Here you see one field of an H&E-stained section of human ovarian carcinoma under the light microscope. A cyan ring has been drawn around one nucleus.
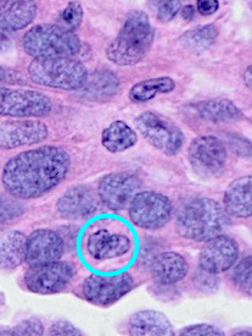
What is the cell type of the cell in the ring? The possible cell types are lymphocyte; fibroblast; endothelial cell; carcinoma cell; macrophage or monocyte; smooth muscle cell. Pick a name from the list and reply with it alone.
macrophage or monocyte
